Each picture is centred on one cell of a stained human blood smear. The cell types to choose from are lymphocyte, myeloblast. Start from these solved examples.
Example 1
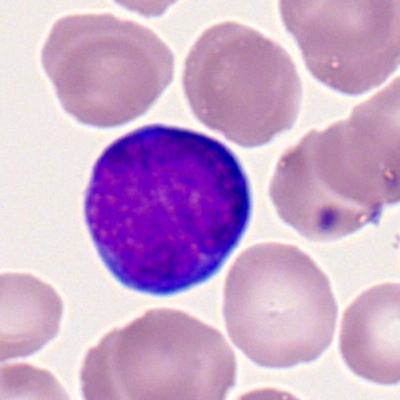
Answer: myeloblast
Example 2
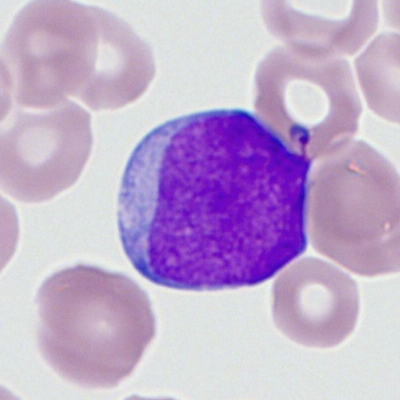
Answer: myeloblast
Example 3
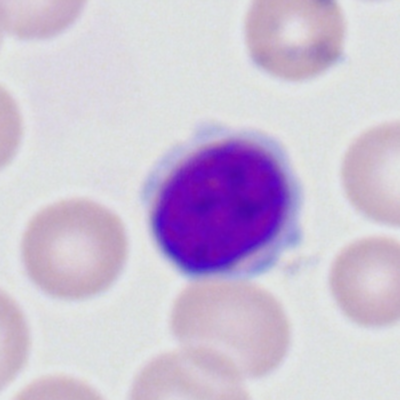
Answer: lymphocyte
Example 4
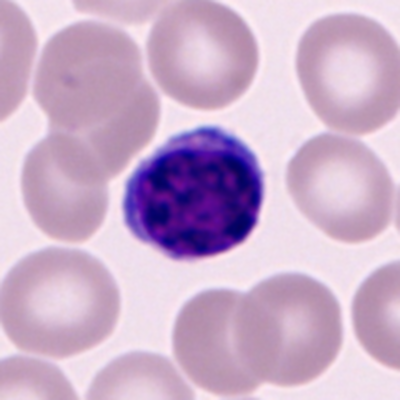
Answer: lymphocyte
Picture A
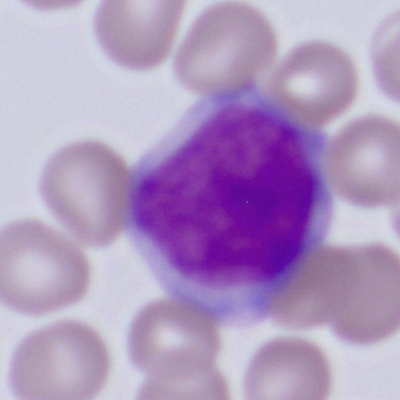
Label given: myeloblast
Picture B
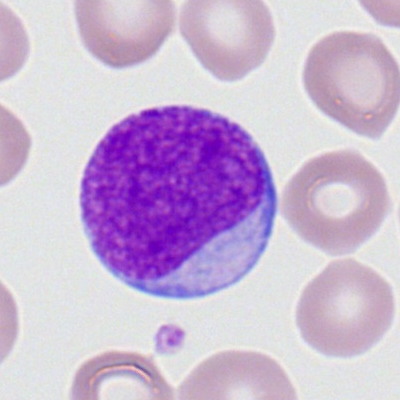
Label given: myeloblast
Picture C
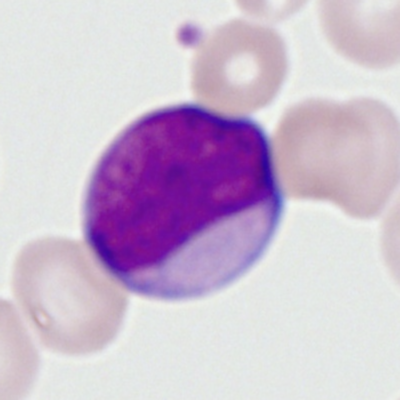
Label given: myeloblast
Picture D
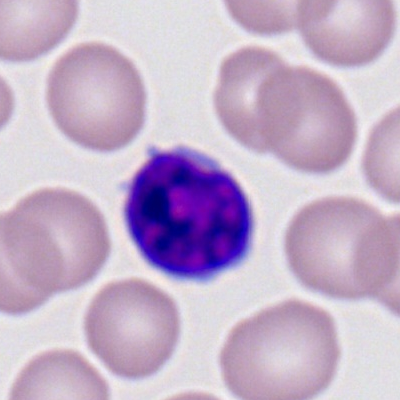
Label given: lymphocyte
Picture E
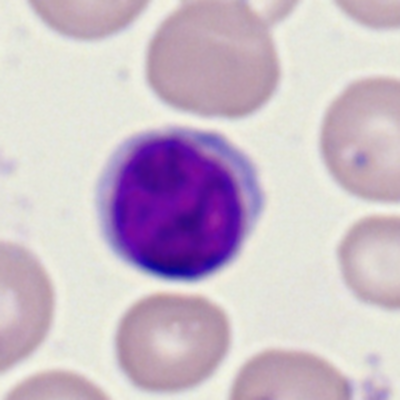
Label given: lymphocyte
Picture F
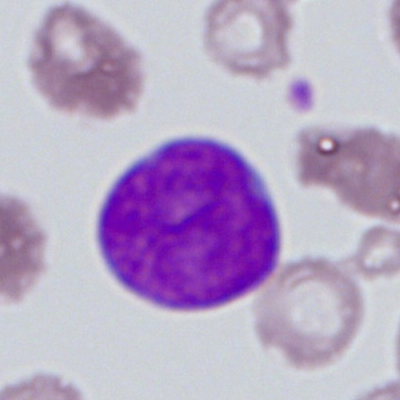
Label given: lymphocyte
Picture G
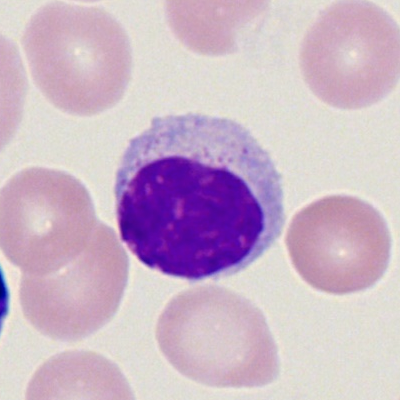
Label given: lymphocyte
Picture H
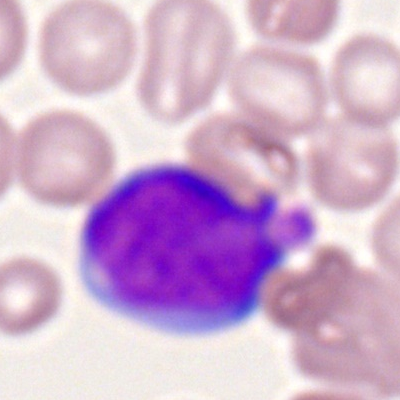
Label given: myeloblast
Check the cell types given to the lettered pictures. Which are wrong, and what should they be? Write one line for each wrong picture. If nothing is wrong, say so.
F should be myeloblast, not lymphocyte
